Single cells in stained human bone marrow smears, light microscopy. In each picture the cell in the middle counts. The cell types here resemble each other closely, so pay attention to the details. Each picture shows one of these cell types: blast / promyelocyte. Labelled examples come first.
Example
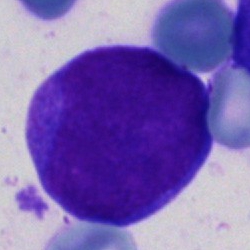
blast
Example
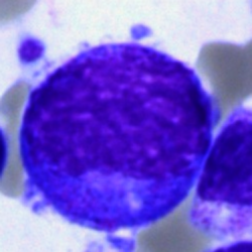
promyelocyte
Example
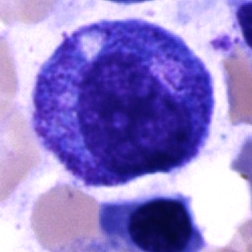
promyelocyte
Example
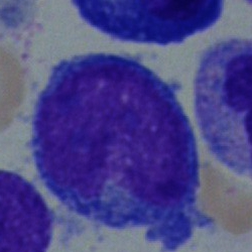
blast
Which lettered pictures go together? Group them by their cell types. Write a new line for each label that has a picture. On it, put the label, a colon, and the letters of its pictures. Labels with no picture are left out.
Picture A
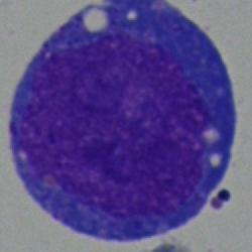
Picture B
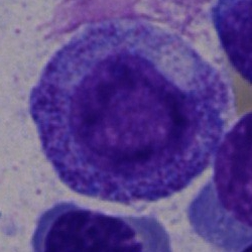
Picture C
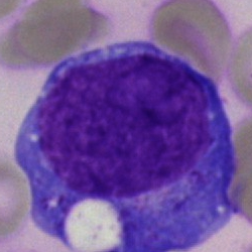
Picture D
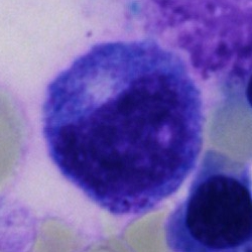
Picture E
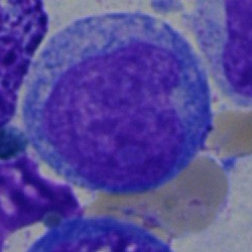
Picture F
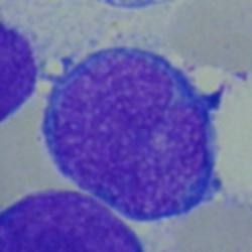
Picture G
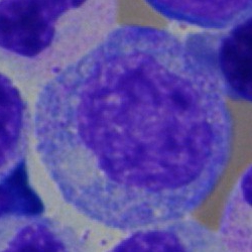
blast: A, C, E, F
promyelocyte: B, D, G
